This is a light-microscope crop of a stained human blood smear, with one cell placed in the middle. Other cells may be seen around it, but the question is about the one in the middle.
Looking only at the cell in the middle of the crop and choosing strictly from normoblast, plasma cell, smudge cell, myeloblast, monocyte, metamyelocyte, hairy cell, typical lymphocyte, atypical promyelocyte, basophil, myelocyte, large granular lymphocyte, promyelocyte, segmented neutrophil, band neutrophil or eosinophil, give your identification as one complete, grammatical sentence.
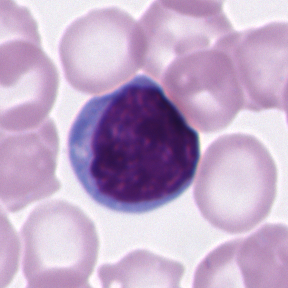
This crop's central cell is a typical lymphocyte.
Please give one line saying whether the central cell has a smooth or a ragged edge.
In short, the margin is smooth with no projections at all.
